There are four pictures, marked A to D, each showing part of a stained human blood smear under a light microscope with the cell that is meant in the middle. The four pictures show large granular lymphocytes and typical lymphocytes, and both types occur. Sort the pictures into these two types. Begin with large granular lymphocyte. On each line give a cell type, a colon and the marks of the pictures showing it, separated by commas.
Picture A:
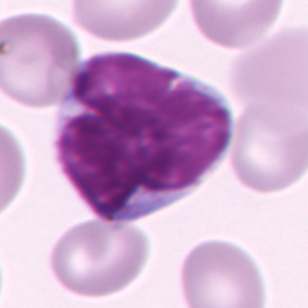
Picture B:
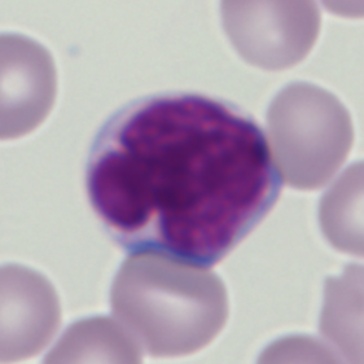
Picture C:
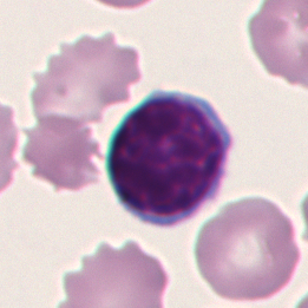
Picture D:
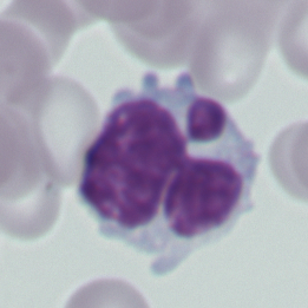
large granular lymphocyte: A, B, D
typical lymphocyte: C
